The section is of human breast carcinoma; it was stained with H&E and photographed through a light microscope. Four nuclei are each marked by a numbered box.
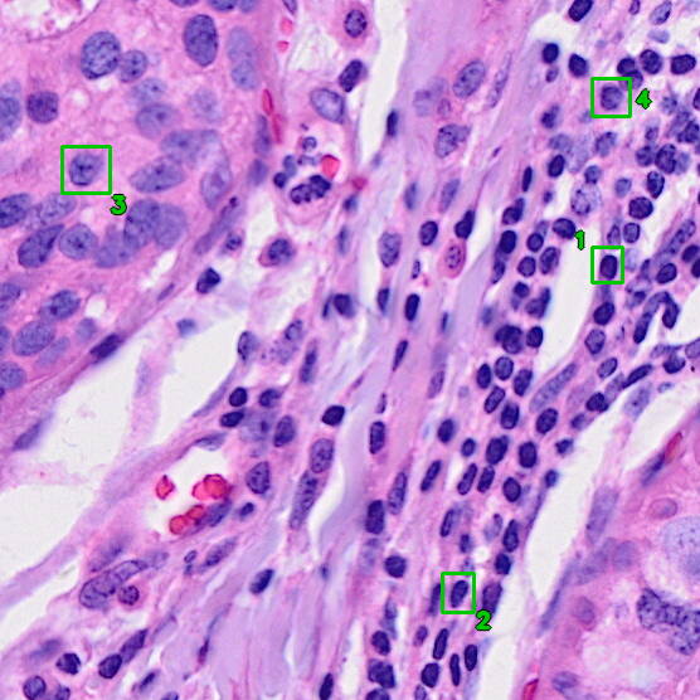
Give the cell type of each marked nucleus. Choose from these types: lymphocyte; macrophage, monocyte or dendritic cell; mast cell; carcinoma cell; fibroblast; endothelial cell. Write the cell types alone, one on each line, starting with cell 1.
lymphocyte
lymphocyte
carcinoma cell
lymphocyte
